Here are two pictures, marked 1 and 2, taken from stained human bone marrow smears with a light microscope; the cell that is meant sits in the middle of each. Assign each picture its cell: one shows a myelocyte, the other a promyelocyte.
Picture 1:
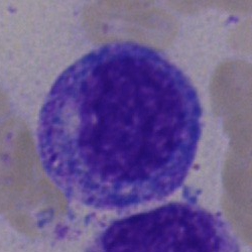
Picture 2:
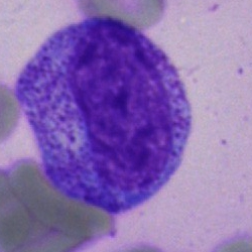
1: promyelocyte
2: myelocyte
